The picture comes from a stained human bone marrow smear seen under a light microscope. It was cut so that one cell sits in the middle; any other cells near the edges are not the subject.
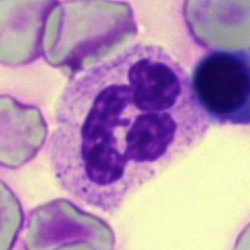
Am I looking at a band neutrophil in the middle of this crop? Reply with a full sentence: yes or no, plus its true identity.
No, the central cell is classed as a segmented neutrophil, not a band neutrophil.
